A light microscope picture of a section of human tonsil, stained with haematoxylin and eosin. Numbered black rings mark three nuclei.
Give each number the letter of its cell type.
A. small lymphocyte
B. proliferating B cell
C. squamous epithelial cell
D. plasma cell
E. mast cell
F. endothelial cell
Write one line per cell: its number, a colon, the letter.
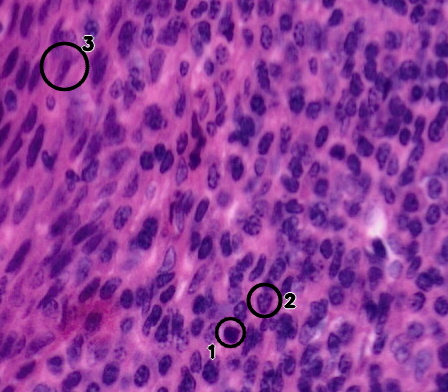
1: D
2: D
3: C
